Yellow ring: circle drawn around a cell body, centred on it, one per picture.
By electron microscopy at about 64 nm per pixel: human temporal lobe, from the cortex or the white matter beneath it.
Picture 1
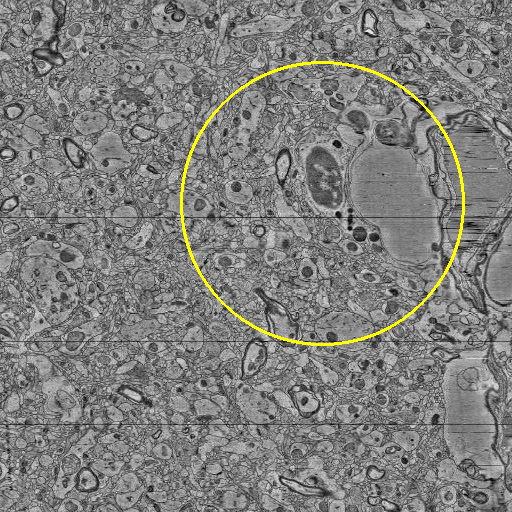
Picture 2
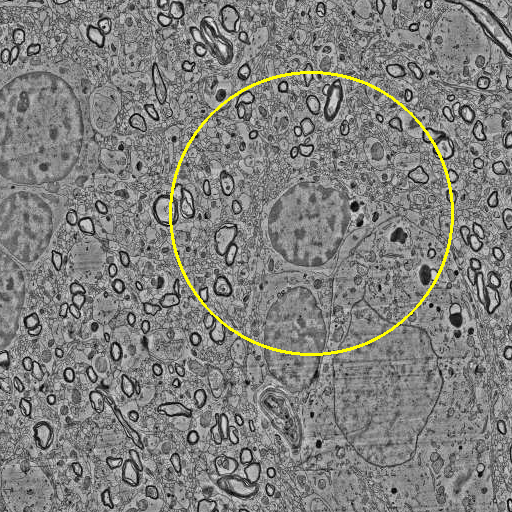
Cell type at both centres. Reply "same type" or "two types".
same type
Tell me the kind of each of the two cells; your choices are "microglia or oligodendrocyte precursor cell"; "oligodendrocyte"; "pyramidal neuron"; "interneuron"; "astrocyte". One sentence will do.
Both pictures show a microglial cell or oligodendrocyte precursor cell at the centre of the ring.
